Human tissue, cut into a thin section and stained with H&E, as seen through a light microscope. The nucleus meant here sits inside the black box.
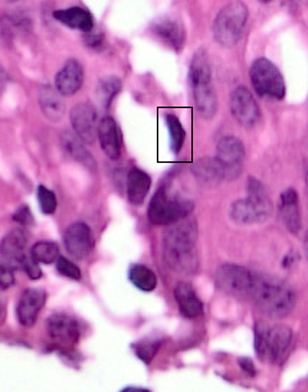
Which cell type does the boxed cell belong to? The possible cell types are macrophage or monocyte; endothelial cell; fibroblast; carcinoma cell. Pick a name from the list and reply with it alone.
carcinoma cell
